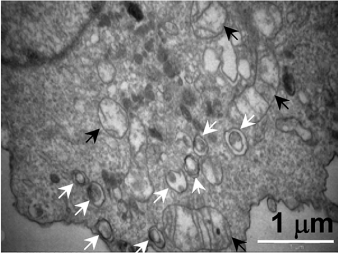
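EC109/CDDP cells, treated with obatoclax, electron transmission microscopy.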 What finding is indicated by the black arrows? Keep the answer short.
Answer: swollen mitochondria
